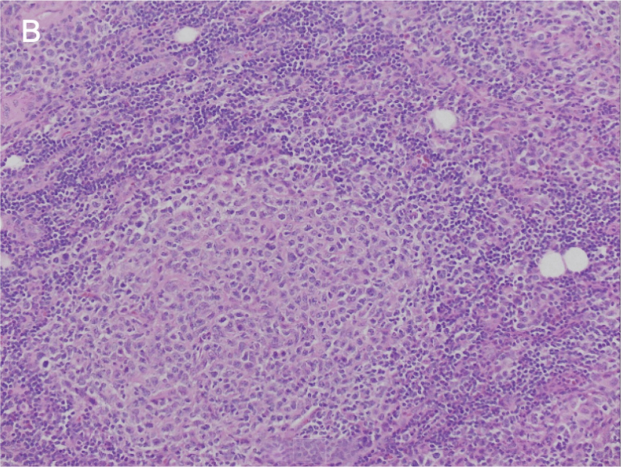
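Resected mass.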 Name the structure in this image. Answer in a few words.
expanded germinal centers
